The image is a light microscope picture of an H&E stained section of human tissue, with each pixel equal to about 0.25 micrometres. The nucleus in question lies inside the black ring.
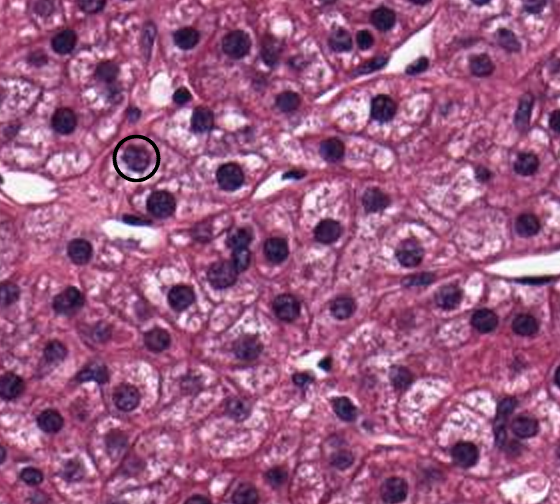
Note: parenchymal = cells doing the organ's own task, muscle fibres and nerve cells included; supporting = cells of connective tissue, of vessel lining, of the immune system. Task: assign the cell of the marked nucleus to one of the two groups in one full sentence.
A parenchymal cell, namely an adrenal cortical cell, is the owner of the marked nucleus.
